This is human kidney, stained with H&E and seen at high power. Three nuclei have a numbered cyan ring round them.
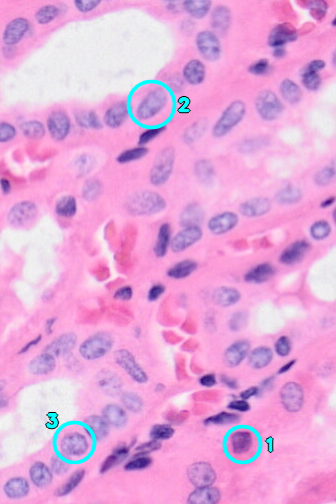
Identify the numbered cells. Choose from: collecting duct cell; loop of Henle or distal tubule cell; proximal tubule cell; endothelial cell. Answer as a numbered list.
1. proximal tubule cell
2. collecting duct cell
3. collecting duct cell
